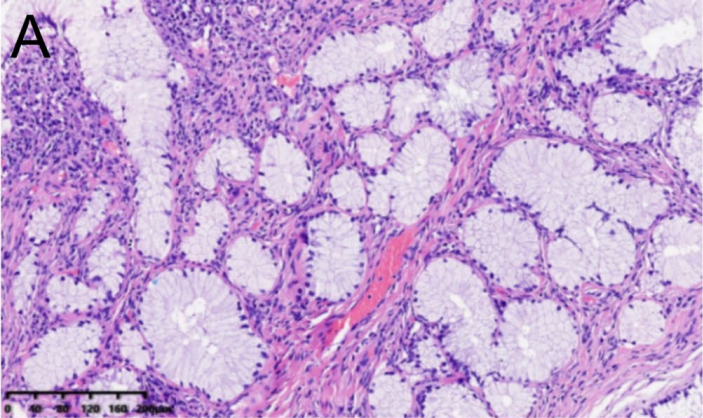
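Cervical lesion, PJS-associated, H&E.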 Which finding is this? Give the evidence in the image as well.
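Many small to medium round glands crowd together in lobular clusters. Glands have smooth round outlines. Lining cells are mucinous with bland basal nuclei. That points to this answer: Lobular endocervical glandular hyperplasia.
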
